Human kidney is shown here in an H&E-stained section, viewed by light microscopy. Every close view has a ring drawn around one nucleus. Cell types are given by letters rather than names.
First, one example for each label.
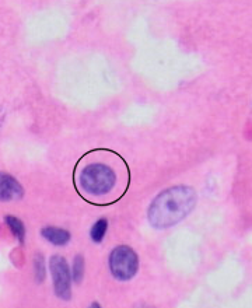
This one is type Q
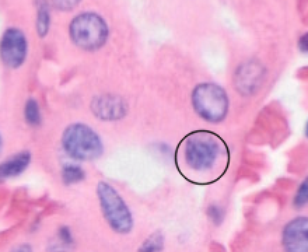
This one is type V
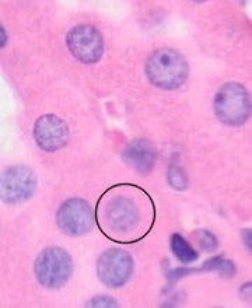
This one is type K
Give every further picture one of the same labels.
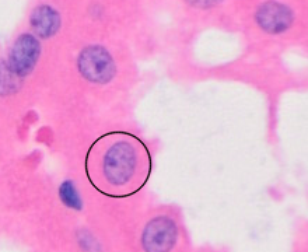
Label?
type Q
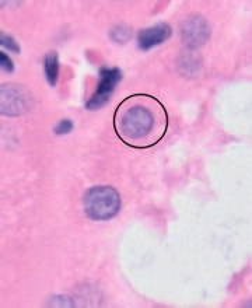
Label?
type Q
